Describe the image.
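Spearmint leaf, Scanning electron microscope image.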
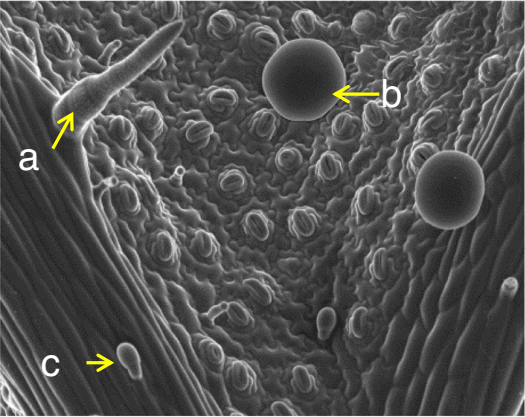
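This is the surface of a leaf seen in relief, with three kinds of hair-like outgrowths among the epidermal cells. Many small raised stomata with paired guard cells dot the wavy epidermis in the middle, while long, parallel, ridged cells run along the vein at the sides. A long, tapering, pointed hair rises at upper left. Two large smooth spherical domes sit flat on the surface, much bigger than the stomata; these are the large glands. Small short-stalked hairs with a rounded knob at the tip stand at the bottom and right; these are the small glands.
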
